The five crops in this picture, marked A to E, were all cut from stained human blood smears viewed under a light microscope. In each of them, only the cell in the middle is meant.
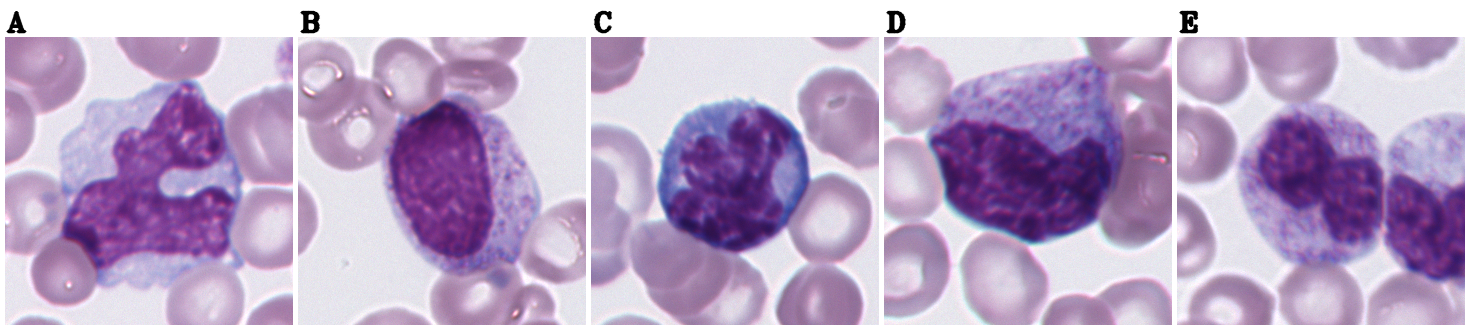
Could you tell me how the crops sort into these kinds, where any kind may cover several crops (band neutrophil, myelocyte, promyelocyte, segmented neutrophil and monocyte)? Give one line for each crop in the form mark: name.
A: monocyte
B: myelocyte
C: monocyte
D: promyelocyte
E: band neutrophil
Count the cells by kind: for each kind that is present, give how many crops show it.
monocyte: 2
myelocyte: 1
promyelocyte: 1
band neutrophil: 1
